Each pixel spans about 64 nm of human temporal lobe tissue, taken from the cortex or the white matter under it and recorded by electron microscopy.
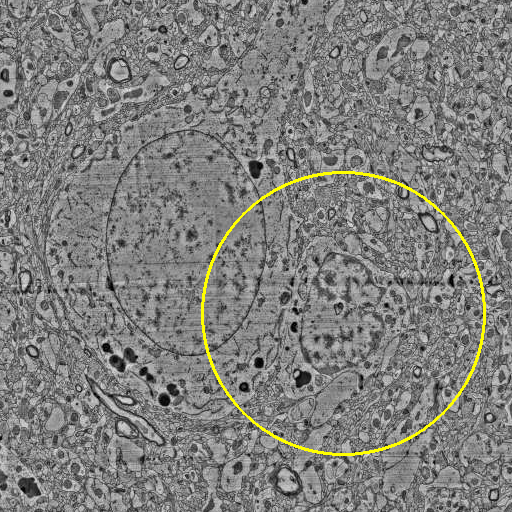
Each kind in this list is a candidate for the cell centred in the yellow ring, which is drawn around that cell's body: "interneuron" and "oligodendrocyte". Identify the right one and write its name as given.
interneuron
